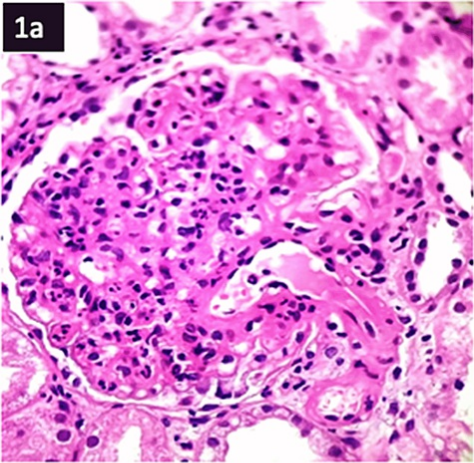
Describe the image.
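A glomerulus with a markedly hypercellular tuft, dark purple nuclei crowding the mesangial areas and capillary loops so that few open lumina remain. The tuft appears divided into lobules by the crowding of cells. At the lower right near the hilum, a small arteriole has a thickened wall of homogeneous glassy pink material. Surrounding tubules and interstitium with scattered nuclei border the Bowman's capsule.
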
